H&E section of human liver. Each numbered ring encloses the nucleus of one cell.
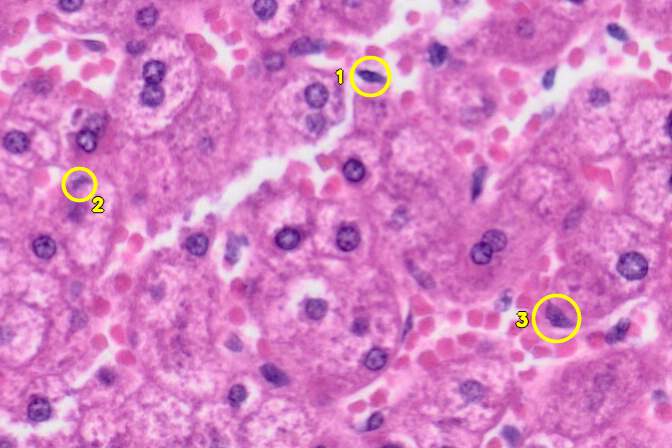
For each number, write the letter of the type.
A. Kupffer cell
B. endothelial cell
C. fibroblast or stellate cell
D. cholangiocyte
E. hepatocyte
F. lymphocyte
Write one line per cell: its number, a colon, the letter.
1: F
2: C
3: C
